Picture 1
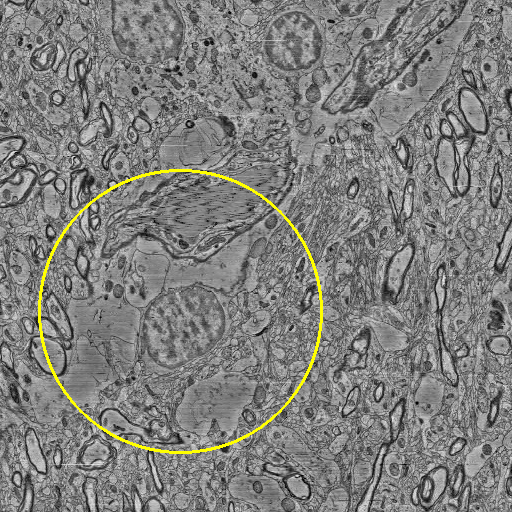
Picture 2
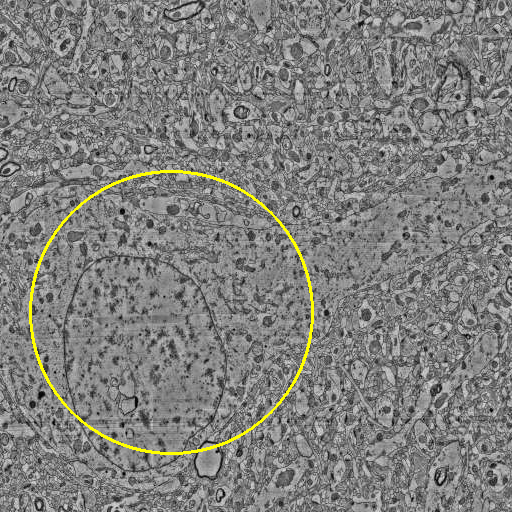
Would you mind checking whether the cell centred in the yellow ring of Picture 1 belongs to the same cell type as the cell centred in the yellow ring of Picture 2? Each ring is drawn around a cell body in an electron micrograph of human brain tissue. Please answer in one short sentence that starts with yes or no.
No, the two cells are of two types.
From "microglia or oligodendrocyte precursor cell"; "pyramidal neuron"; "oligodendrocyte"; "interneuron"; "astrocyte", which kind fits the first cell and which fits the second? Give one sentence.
The cell marked in the first picture is an oligodendrocyte, and the one marked in the second is a pyramidal neuron.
